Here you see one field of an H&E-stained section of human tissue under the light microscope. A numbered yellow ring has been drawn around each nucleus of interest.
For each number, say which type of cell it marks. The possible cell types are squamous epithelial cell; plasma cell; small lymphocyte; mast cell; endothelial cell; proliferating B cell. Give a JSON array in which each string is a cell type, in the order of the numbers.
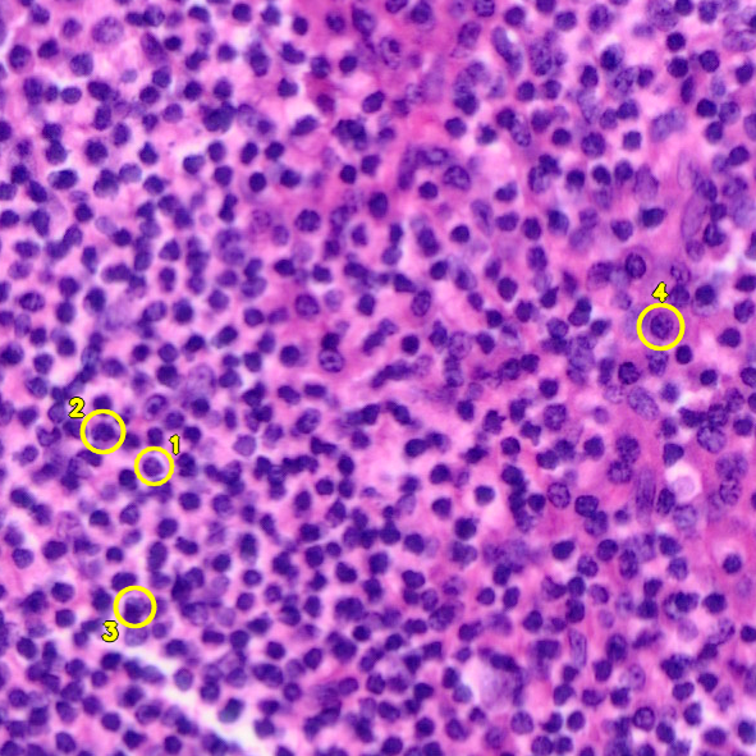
["small lymphocyte", "small lymphocyte", "small lymphocyte", "plasma cell"]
